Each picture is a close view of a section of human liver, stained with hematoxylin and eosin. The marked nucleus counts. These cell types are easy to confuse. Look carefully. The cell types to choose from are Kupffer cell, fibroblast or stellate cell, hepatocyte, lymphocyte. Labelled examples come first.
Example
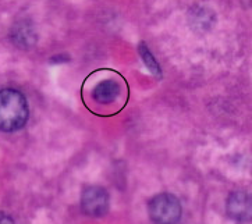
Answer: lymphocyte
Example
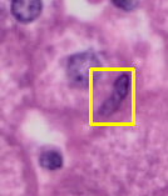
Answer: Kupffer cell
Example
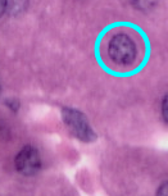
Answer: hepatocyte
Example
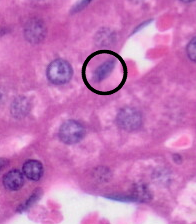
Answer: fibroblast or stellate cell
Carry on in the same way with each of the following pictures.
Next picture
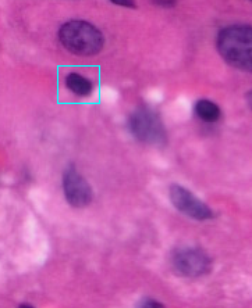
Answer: lymphocyte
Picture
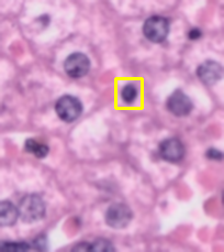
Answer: lymphocyte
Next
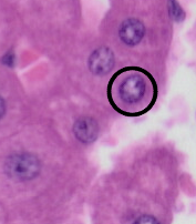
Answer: hepatocyte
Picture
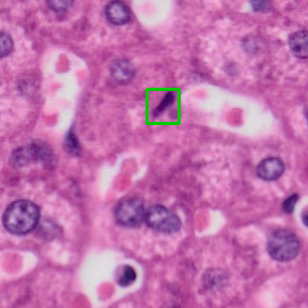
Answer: fibroblast or stellate cell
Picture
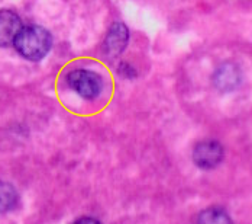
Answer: Kupffer cell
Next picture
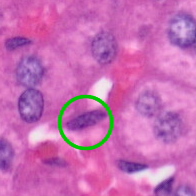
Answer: Kupffer cell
